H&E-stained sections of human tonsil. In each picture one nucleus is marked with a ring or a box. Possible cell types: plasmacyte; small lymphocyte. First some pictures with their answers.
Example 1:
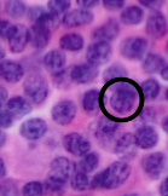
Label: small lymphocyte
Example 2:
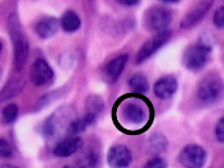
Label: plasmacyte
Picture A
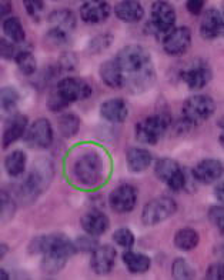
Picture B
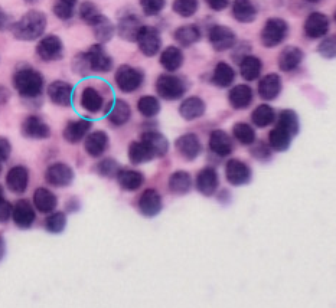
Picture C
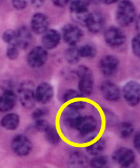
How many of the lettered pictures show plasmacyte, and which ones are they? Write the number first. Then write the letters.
2, namely A, C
